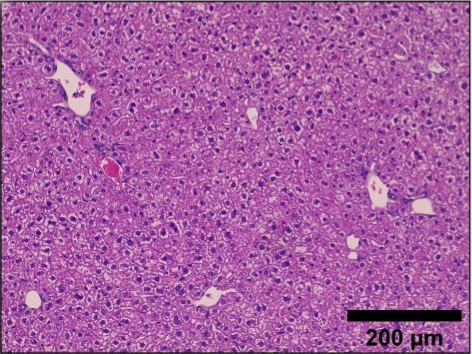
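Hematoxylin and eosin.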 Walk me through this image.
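This is liver tissue in which pink polygonal hepatocytes with central round purple nuclei form cords separated by narrow sinusoids. Small, irregular vessel lumens are scattered through the field, some with a few red blood cells inside. The hepatocytes look uniform in size and staining across the section, and no dense clusters of small dark nuclei are seen among them.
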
